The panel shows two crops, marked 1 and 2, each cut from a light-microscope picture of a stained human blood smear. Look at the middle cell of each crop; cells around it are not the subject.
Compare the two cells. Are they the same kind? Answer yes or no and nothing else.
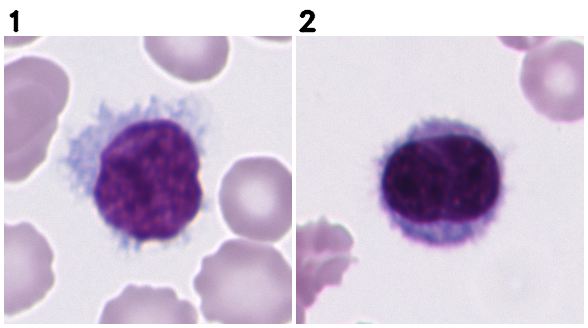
yes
